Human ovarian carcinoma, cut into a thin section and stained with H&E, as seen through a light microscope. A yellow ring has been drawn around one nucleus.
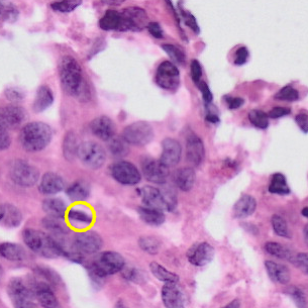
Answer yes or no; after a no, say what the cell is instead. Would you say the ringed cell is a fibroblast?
No, it is a carcinoma cell.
